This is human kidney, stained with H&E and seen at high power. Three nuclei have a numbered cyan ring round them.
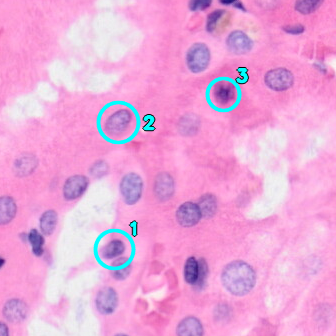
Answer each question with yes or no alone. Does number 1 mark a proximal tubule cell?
no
